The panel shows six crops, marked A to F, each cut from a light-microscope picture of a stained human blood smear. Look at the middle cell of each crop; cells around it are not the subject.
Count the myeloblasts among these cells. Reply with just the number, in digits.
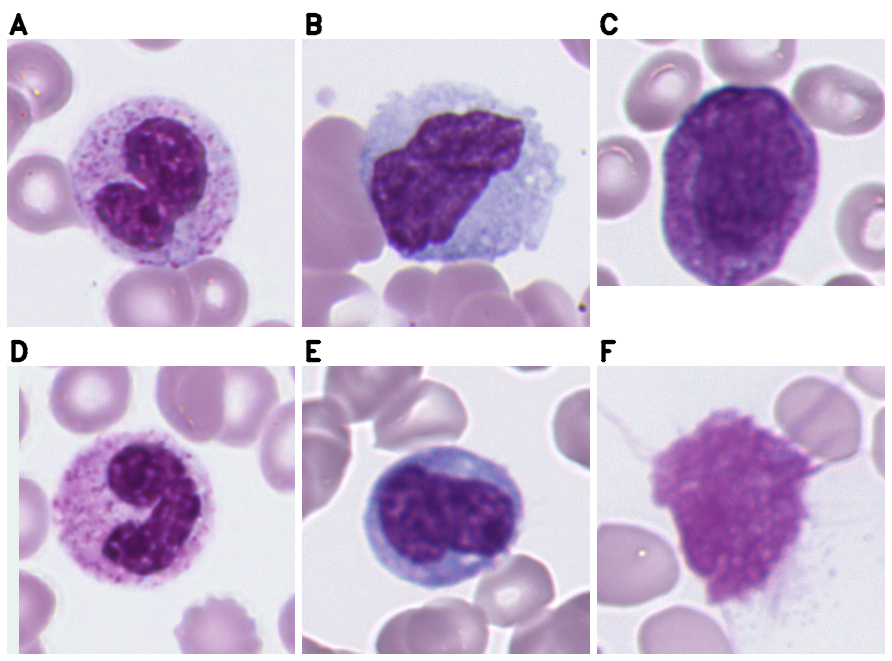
0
